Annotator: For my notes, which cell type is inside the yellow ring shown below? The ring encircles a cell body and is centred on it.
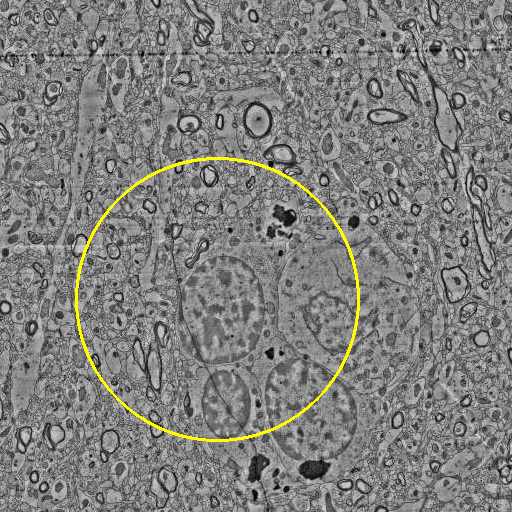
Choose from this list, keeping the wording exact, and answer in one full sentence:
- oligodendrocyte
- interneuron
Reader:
At the centre of the yellow ring there is an oligodendrocyte, as shown in the picture.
